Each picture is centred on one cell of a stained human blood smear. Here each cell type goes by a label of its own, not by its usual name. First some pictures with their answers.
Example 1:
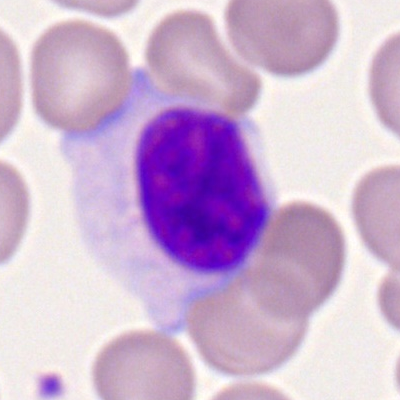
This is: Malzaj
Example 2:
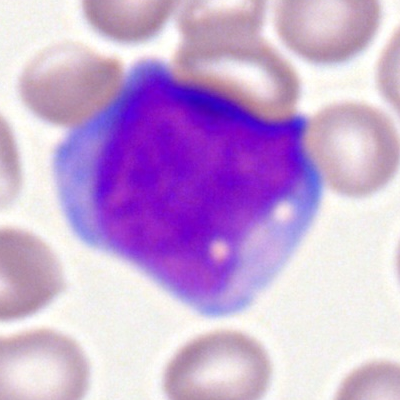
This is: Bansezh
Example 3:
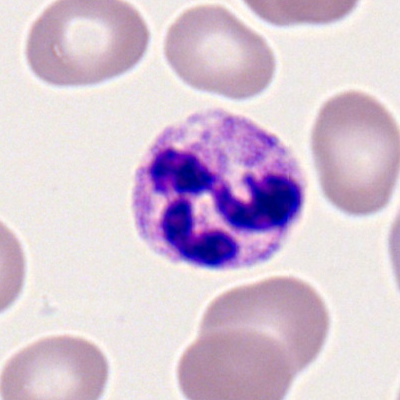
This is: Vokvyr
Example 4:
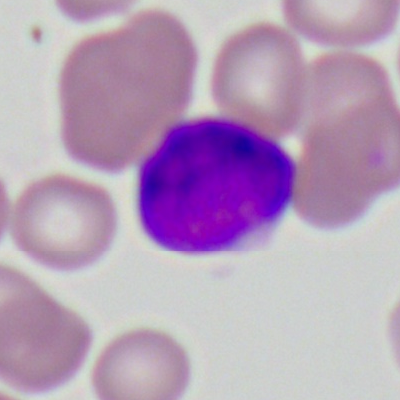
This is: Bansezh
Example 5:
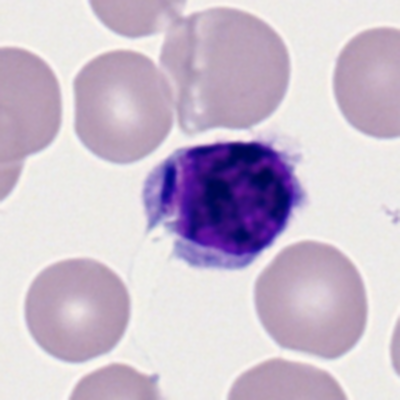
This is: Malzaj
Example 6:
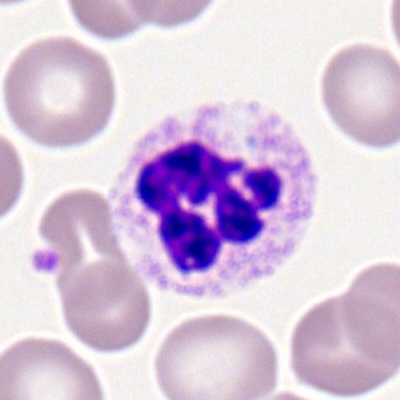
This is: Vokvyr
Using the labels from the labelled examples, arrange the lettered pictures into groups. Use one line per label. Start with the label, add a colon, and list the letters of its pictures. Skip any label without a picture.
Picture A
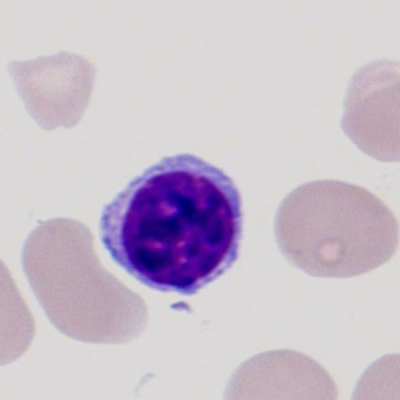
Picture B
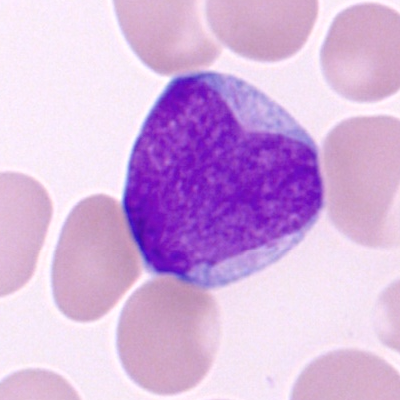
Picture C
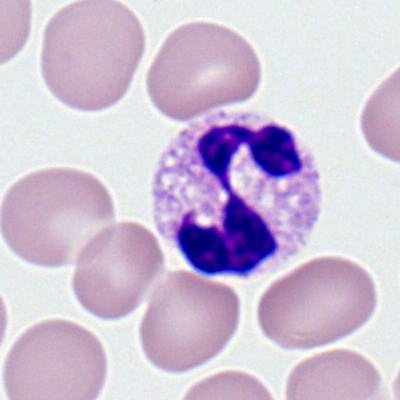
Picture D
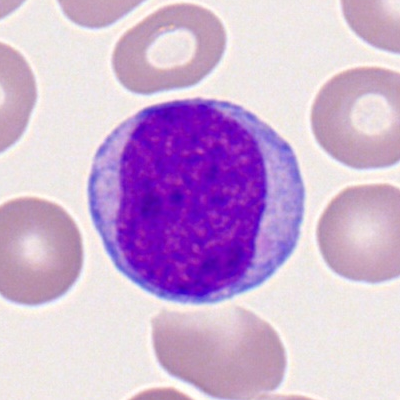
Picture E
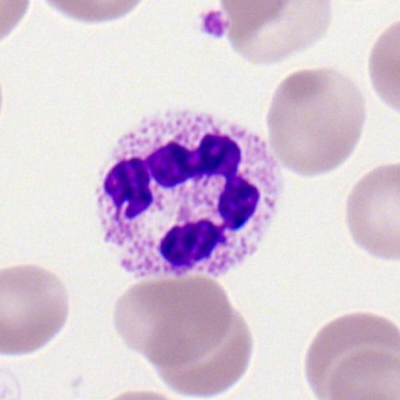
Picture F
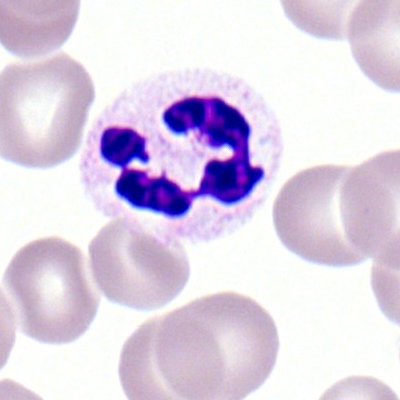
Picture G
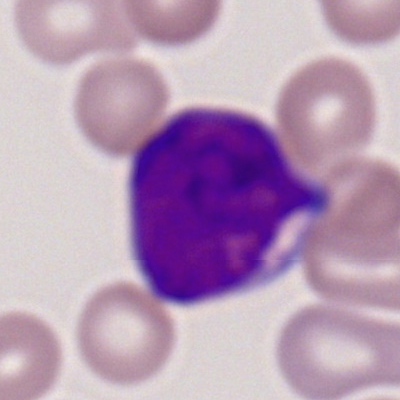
Malzaj: A
Bansezh: B, D, G
Vokvyr: C, E, F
